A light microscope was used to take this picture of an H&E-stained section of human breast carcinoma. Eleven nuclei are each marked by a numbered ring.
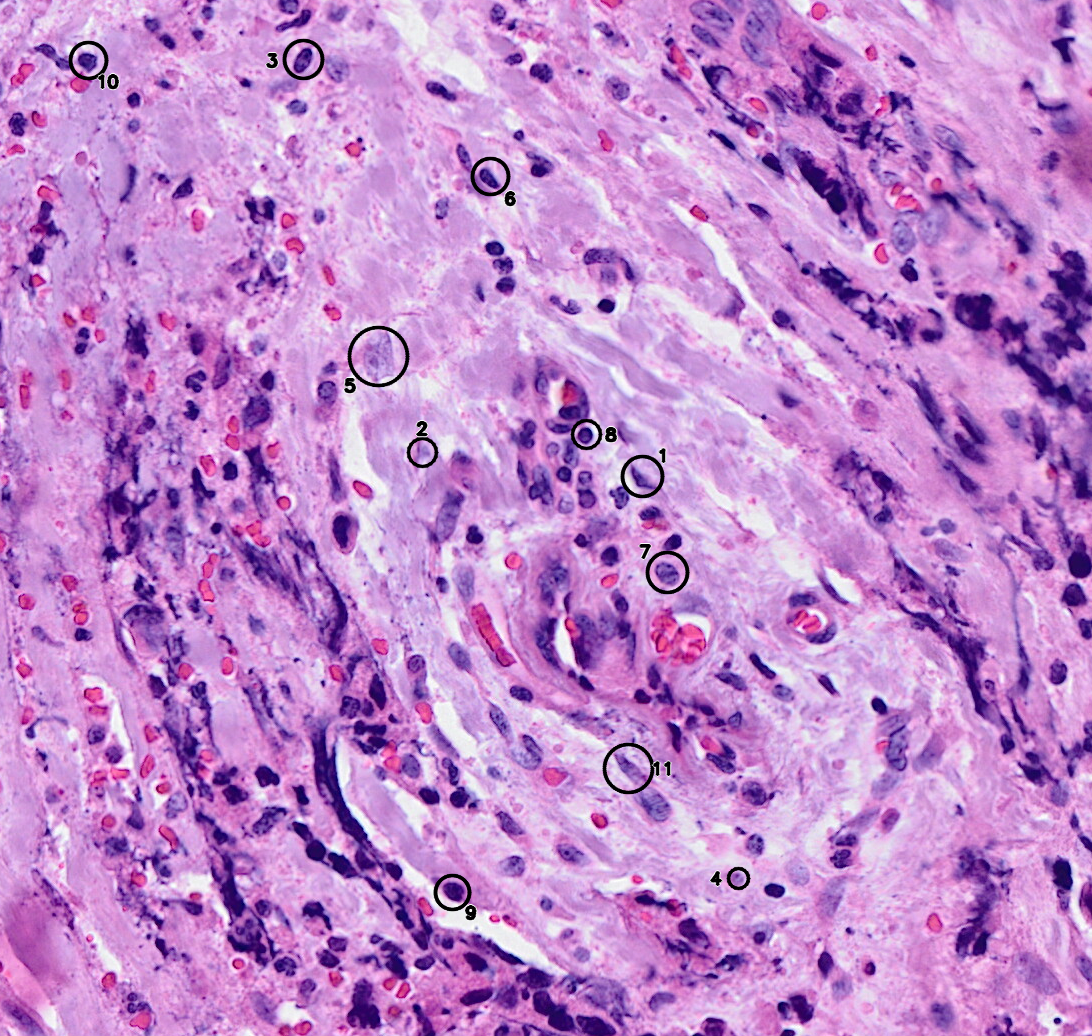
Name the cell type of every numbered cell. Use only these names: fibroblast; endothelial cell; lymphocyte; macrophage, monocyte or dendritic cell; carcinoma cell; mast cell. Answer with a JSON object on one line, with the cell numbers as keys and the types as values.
{"1": "fibroblast", "2": "fibroblast", "3": "lymphocyte", "4": "mast cell", "5": "fibroblast", "6": "lymphocyte", "7": "mast cell", "8": "lymphocyte", "9": "lymphocyte", "10": "lymphocyte", "11": "fibroblast"}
